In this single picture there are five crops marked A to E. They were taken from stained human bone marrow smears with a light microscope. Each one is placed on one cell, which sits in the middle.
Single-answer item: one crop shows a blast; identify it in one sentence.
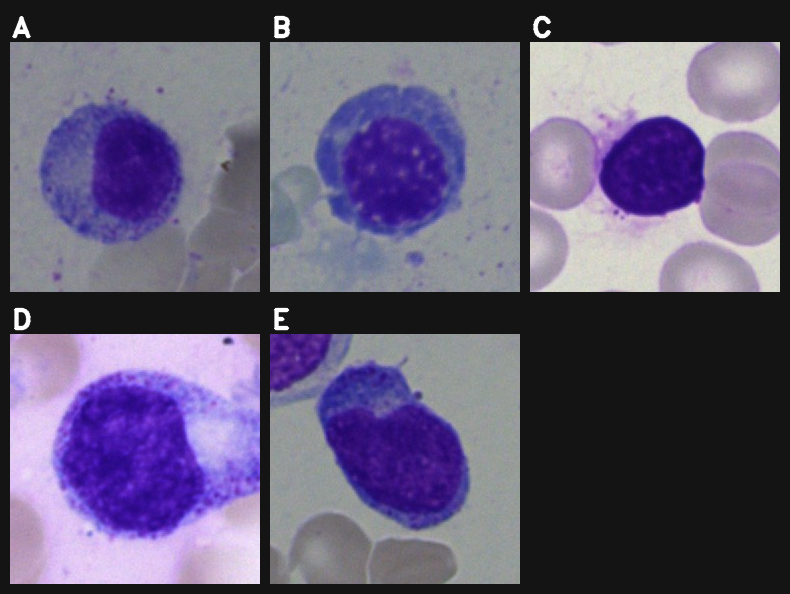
Among the crops, only crop E contains a blast.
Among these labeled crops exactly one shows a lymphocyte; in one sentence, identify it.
Crop C shows a lymphocyte, and no other crop does.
